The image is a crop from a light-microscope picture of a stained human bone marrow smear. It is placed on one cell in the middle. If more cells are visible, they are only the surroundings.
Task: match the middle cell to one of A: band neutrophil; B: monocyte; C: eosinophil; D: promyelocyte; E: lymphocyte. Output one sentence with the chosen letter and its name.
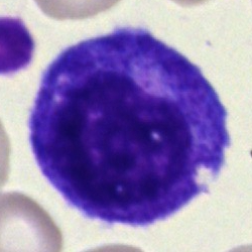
Identification: the cell in the middle is a promyelocyte, matching option D.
